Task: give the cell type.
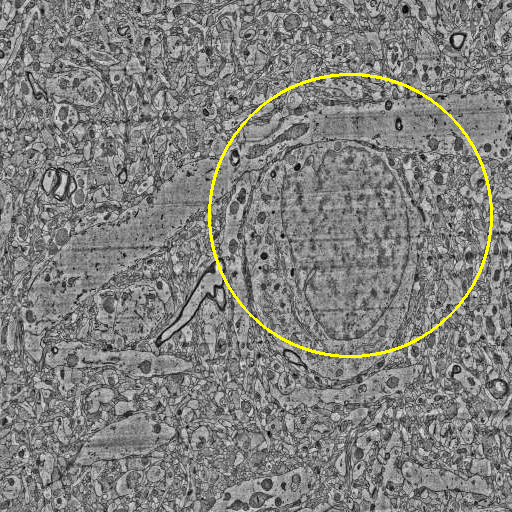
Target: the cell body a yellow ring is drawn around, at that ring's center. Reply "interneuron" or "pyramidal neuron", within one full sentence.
In this picture, the cell whose body lies at the ring's center is an interneuron.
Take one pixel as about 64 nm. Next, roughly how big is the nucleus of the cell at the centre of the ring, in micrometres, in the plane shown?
The nucleus has a long axis of about 12 micrometres and a short axis of about 8 micrometres in this plane.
